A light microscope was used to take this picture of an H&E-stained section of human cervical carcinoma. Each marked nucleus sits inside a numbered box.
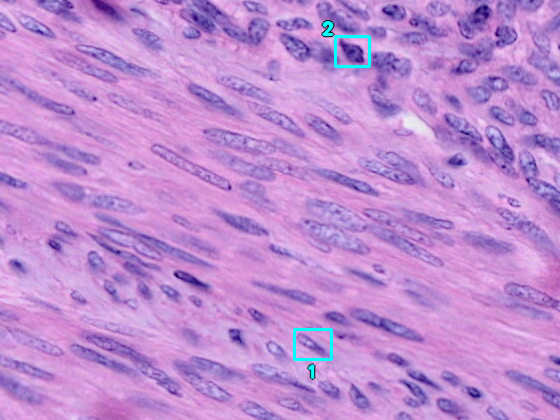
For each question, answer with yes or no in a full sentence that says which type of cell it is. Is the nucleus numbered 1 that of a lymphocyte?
No. Cell number 1 is a smooth muscle cell, not a lymphocyte.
